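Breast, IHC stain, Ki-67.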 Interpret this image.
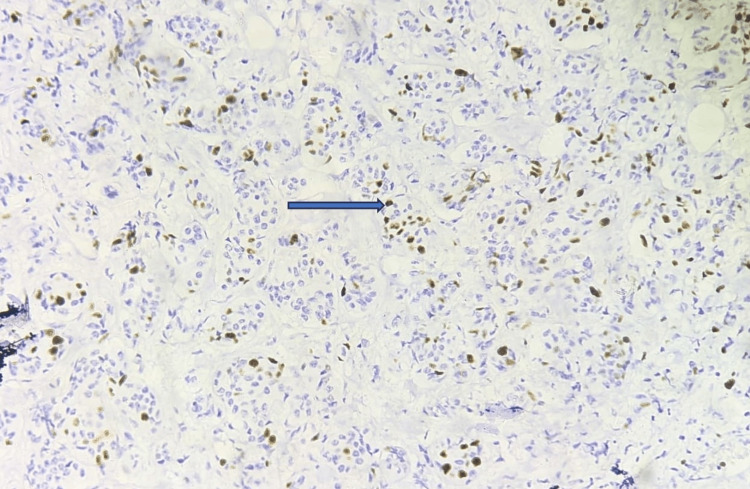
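Within the nests the cells are crowded, with round to oval nuclei that mostly take the blue counterstain, and little visible cytoplasm. Scattered through the nests, and not in every cell, nuclei are stained solid brown; these are spread widely across the field, sometimes several together in one nest, while the cytoplasm around them stays unstained. A few elongated nuclei lie in the stroma. Here and there round clear spaces appear in the stroma. This is an invasive carcinoma with nuclear staining in a fraction of tumour cells.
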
